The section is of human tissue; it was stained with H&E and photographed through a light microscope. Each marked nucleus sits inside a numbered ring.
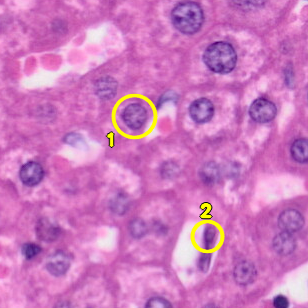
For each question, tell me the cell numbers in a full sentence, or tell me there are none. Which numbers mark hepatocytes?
Only one marked cell, number 1, is a hepatocyte.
